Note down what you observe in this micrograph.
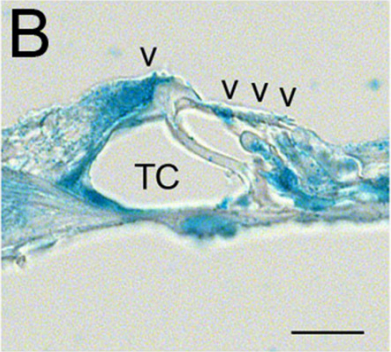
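A cross-section of the organ of Corti is seen, with the sensory cells sitting on top of the epithelium. In the centre lies a large, clear triangular tunnel whose walls are formed by slender, arching pillar cells meeting at the top. The epithelium rests on a thin band below. Tissue is stained pale to medium blue, densest around the upper surface. On the left of the tunnel's apex a single sensory cell is marked, and to the right three sensory cells lie in a row along the surface. Supporting tissue spreads out to the left and right at either side.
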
